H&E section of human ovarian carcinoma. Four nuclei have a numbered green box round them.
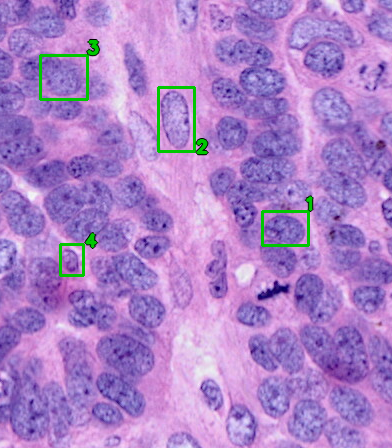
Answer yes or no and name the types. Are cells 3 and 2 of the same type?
No, cell 3 is a carcinoma cell, with cell 2 being a fibroblast.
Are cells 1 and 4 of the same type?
No, the cell numbered 1 is a carcinoma cell and the cell numbered 4 is a macrophage or monocyte.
